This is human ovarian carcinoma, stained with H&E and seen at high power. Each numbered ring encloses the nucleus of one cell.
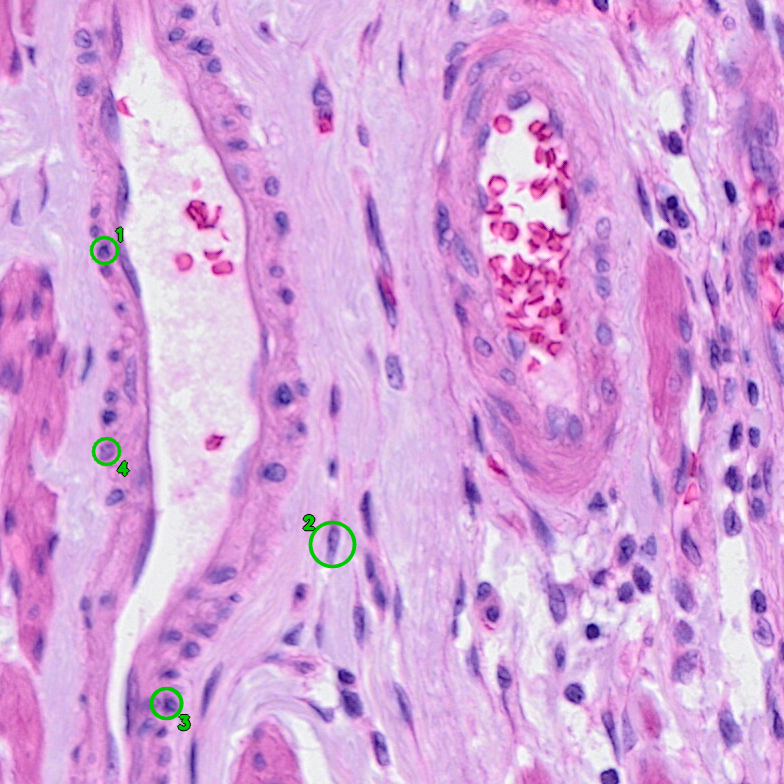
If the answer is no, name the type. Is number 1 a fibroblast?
No, it is a smooth muscle cell.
